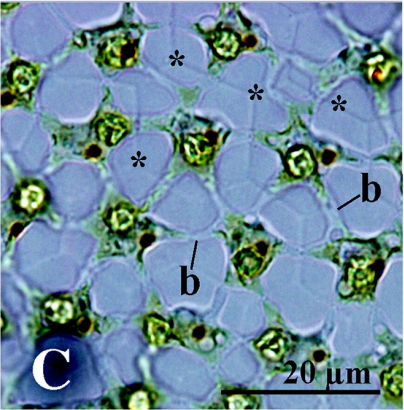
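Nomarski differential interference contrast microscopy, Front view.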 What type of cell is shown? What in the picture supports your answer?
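Many small green cells are evenly spaced in a single layer. The answer: somatic cells.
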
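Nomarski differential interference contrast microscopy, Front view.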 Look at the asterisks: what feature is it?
individual sheaths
